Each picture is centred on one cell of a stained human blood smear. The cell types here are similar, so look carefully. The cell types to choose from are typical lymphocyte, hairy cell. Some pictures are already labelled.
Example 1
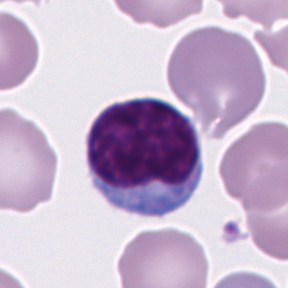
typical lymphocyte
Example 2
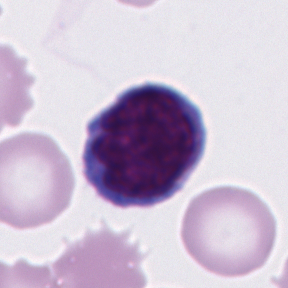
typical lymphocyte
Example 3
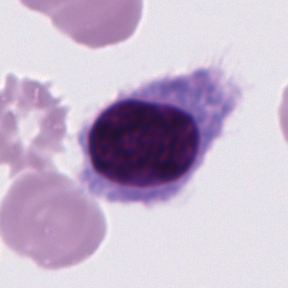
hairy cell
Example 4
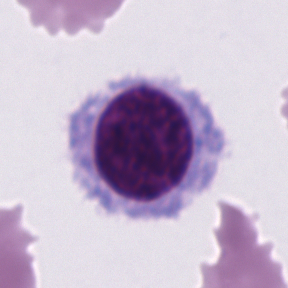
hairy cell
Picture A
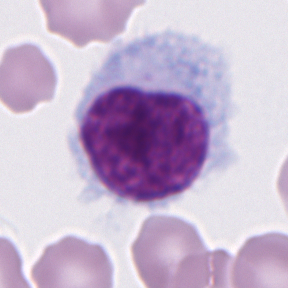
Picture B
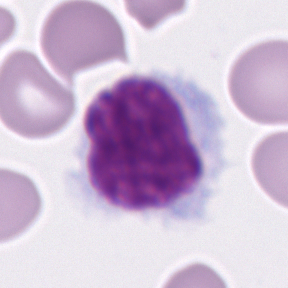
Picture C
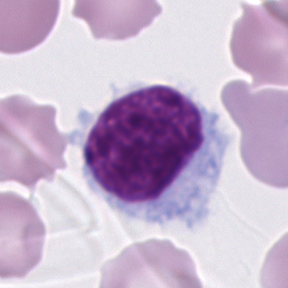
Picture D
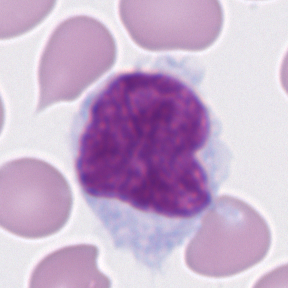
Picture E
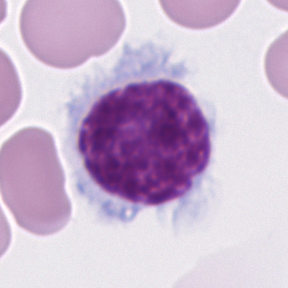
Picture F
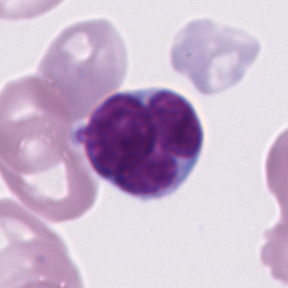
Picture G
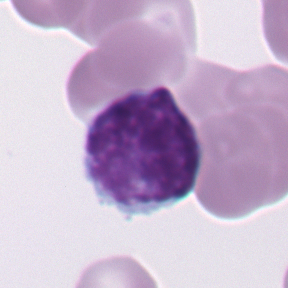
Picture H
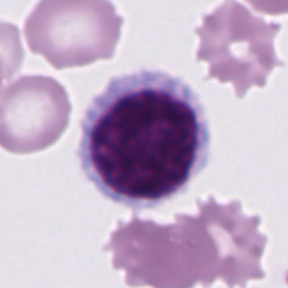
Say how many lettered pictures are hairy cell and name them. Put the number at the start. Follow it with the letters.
Count: 6 (A, B, C, D, E, H)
